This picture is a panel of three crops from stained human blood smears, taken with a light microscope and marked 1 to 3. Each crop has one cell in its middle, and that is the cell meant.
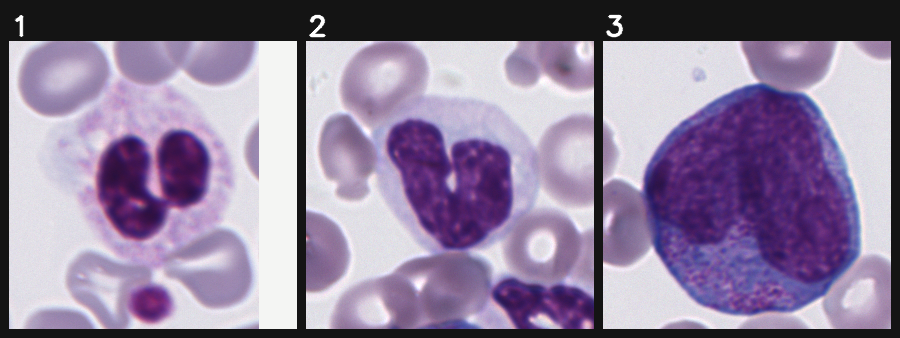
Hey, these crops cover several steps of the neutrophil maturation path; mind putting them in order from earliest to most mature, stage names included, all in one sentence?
Ordered by maturation stage, least mature first, these are crop 3 (a promyelocyte), crop 2 (a band neutrophil) and crop 1 (a segmented neutrophil).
